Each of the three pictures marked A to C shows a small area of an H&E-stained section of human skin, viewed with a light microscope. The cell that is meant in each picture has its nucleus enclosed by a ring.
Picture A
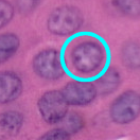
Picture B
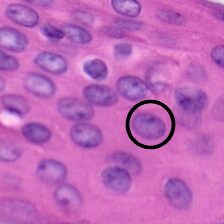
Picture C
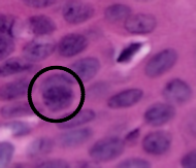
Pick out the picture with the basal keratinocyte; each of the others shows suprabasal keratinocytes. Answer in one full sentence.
Picture C shows the basal keratinocyte.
